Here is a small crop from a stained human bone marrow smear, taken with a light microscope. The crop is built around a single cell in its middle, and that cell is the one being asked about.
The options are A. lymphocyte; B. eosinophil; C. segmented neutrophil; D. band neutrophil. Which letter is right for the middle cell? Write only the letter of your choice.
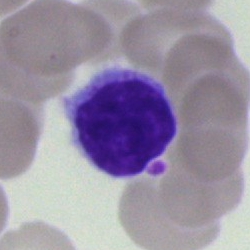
A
